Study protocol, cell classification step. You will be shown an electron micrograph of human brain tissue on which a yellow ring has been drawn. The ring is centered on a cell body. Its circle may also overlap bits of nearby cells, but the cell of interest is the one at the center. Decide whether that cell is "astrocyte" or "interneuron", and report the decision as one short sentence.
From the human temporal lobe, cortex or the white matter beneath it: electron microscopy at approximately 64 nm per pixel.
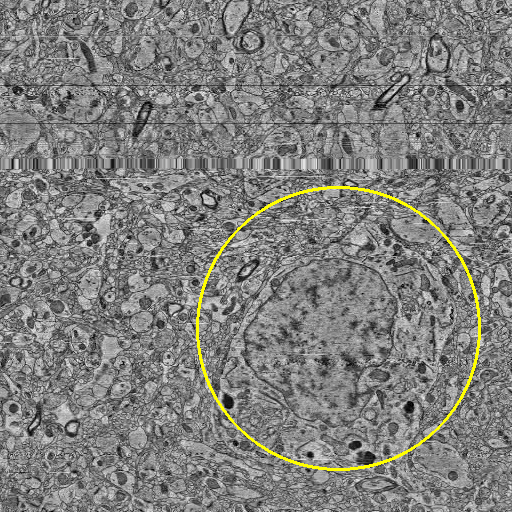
The marked cell is an interneuron.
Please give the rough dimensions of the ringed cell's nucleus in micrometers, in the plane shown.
About 10 micrometres across in this plane, for the nucleus.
